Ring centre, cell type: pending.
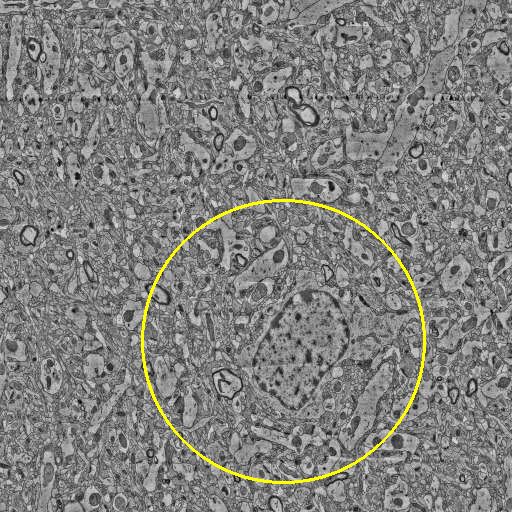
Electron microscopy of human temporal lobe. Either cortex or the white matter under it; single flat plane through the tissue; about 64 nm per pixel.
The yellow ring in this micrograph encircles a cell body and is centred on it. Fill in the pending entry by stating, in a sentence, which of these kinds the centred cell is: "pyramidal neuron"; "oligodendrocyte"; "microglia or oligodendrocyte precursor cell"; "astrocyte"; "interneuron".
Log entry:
The centred cell is recorded as a microglial cell or oligodendrocyte precursor cell.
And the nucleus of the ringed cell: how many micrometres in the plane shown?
In this plane the nucleus spans approximately 8 by 5 micrometers.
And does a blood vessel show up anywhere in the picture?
No.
